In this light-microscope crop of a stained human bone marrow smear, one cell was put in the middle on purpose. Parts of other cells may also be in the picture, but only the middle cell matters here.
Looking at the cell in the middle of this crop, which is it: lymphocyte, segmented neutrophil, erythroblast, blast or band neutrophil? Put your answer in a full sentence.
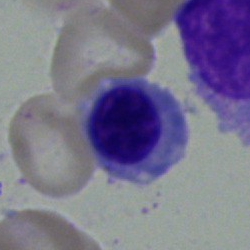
The cell nearest the centre of this crop is an erythroblast.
